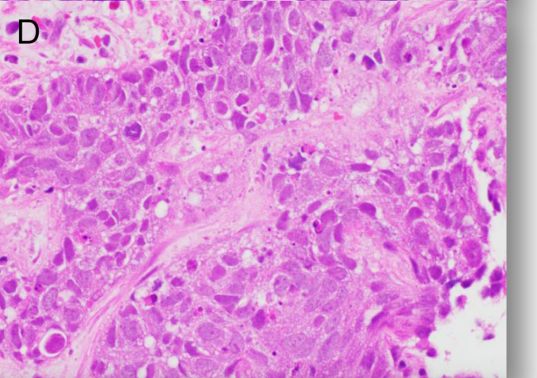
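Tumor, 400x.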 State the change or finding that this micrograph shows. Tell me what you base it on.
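Tumor cells have pink cytoplasm around their nuclei. Cells form nests separated by pink fibrous strands.
Conclusion: moderate amount of eosinophilic cytoplasm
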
